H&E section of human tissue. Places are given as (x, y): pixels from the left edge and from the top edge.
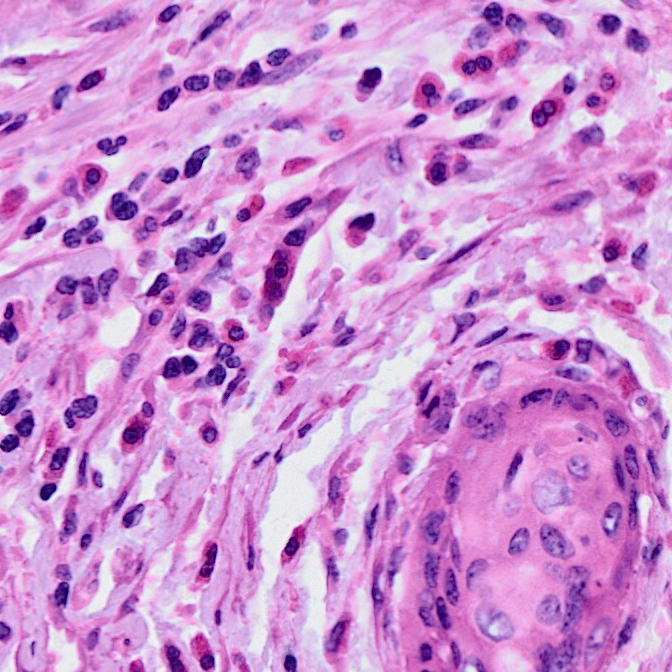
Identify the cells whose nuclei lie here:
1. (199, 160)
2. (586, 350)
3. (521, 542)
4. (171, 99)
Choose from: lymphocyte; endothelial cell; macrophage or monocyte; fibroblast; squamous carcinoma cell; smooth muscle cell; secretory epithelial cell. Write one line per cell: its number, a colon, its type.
1: lymphocyte
2: macrophage or monocyte
3: squamous carcinoma cell
4: lymphocyte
